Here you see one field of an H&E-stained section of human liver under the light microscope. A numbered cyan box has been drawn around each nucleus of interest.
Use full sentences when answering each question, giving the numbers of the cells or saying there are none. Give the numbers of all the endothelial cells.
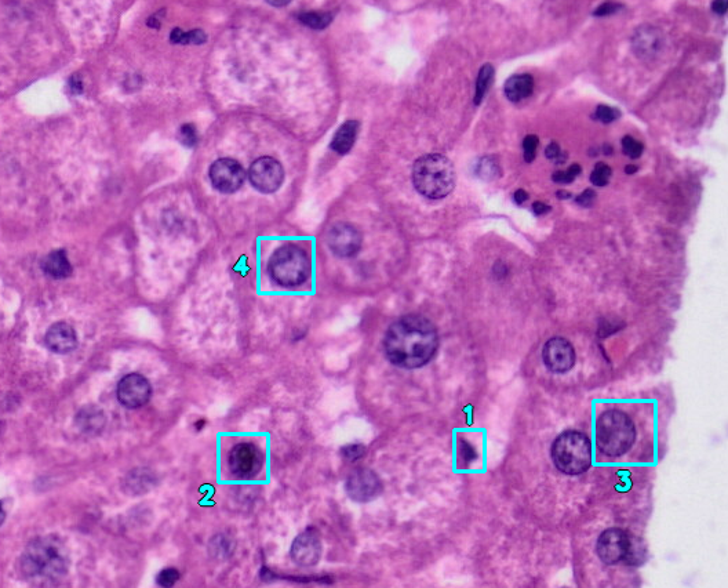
Only the nucleus marked 1 is that of an endothelial cell.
